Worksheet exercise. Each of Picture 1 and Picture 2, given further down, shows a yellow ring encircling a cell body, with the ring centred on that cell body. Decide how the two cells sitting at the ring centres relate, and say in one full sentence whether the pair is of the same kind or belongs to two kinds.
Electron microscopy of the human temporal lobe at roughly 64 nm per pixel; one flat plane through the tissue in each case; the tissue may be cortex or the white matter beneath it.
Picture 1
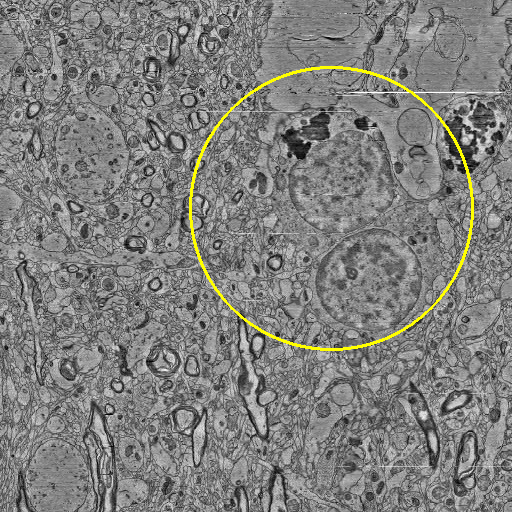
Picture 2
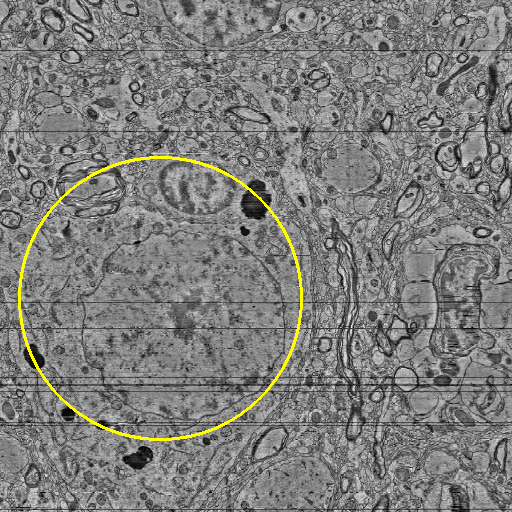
The cells at the ring centres in Picture 1 and Picture 2 belong to two kinds.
